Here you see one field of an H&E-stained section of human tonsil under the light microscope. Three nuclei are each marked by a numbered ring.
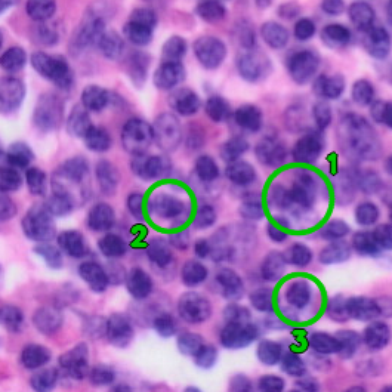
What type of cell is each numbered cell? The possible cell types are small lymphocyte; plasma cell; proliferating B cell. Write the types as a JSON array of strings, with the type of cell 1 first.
["proliferating B cell", "small lymphocyte", "small lymphocyte"]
